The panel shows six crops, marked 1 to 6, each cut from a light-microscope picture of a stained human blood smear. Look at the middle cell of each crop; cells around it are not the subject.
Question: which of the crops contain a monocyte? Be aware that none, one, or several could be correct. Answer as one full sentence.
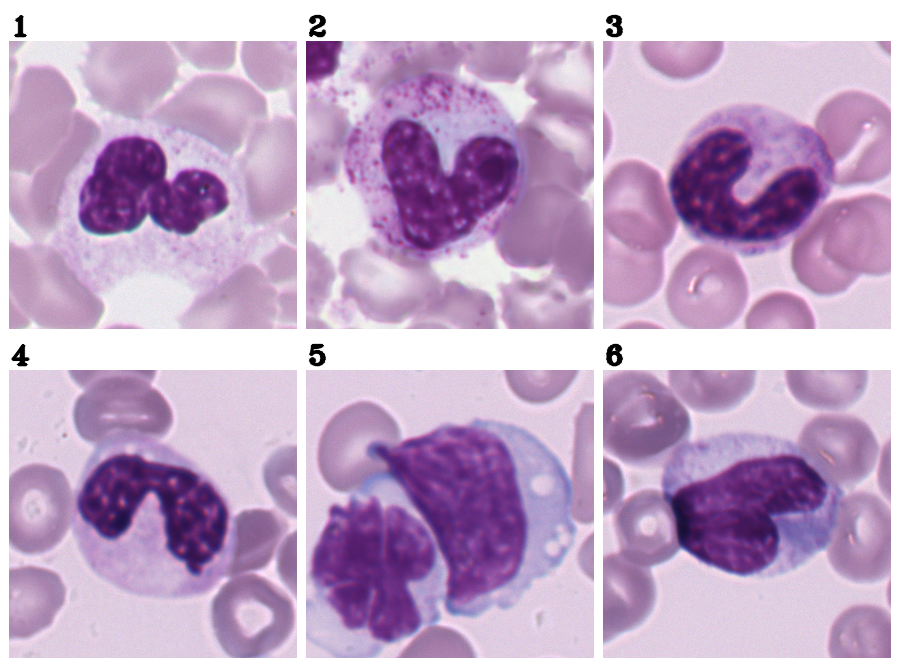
When all the crops are reviewed, none is found to show a monocyte.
